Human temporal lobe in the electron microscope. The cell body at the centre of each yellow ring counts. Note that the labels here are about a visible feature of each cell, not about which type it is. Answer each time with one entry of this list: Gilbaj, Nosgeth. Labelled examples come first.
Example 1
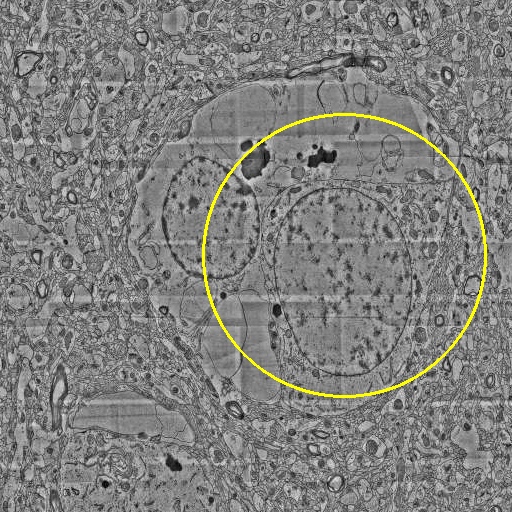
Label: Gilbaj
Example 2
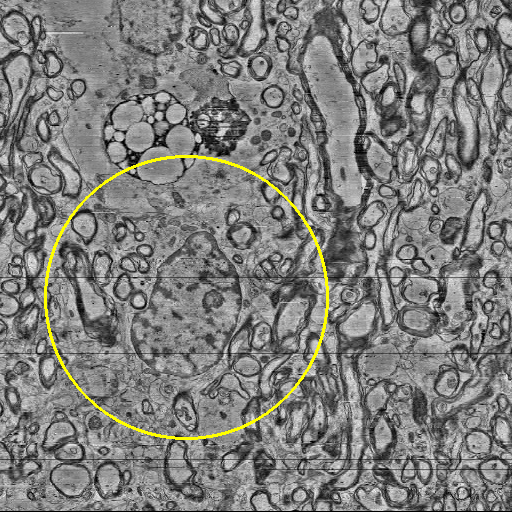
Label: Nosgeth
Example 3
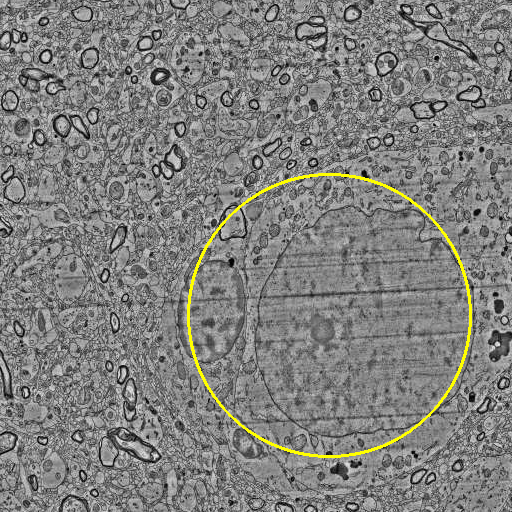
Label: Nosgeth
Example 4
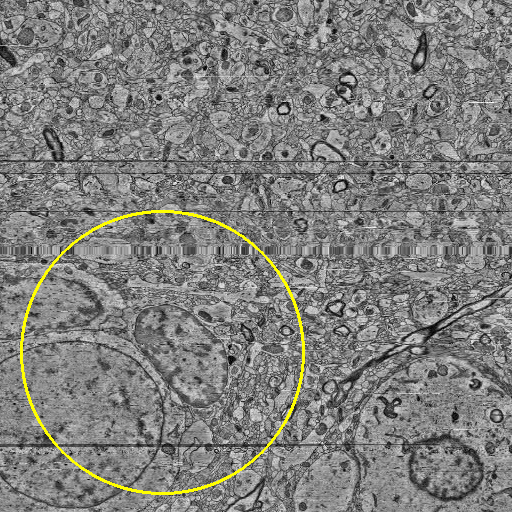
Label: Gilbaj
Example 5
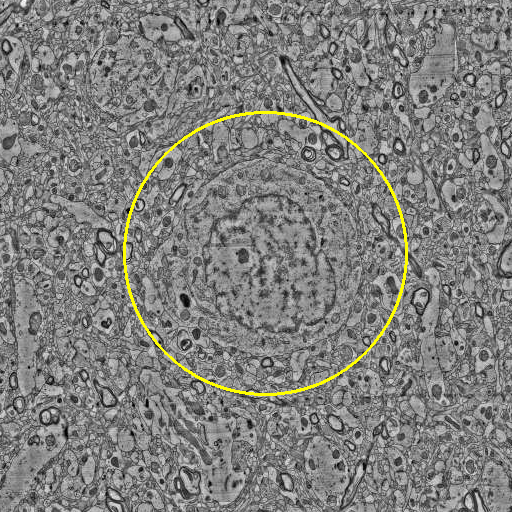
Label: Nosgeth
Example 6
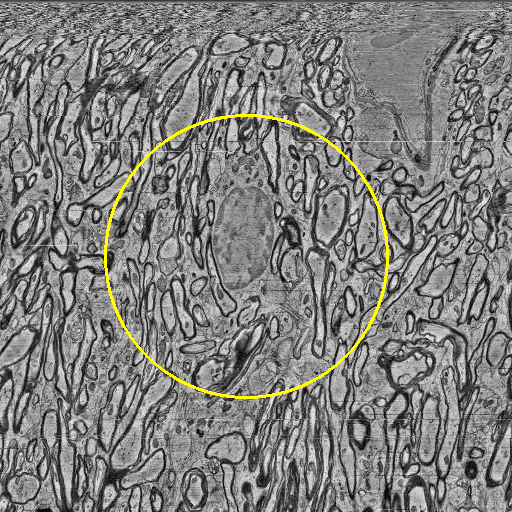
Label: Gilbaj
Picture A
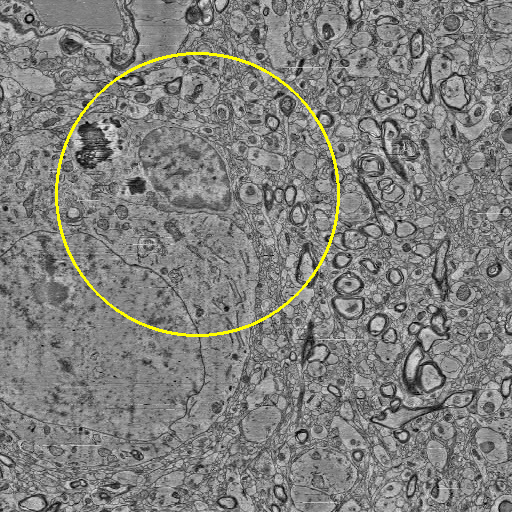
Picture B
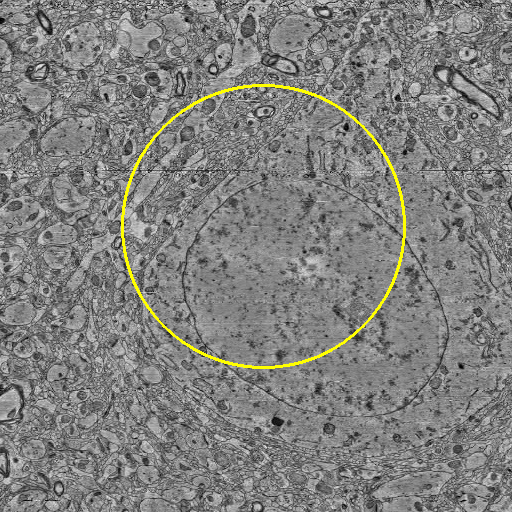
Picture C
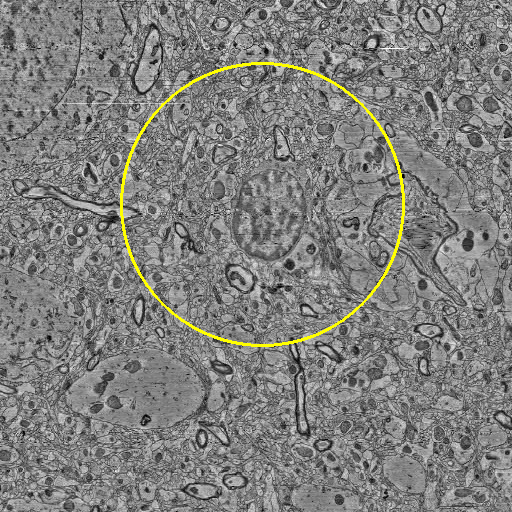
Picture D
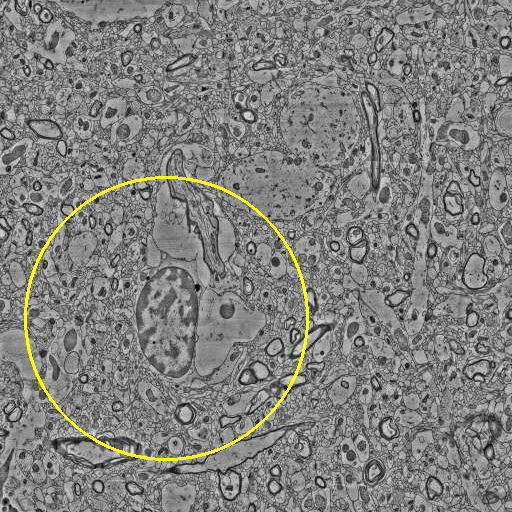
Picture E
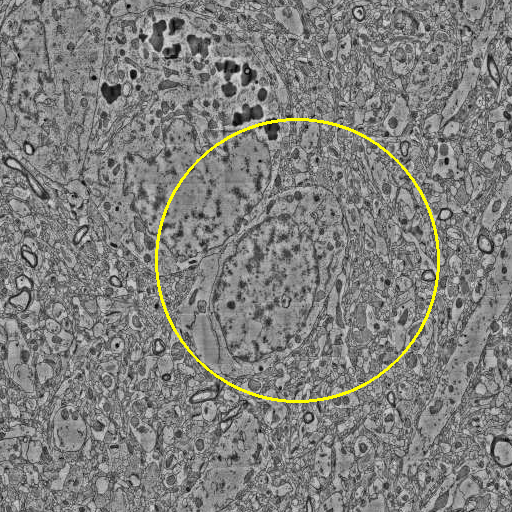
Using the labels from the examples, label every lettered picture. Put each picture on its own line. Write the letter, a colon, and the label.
A: Gilbaj
B: Gilbaj
C: Gilbaj
D: Gilbaj
E: Gilbaj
